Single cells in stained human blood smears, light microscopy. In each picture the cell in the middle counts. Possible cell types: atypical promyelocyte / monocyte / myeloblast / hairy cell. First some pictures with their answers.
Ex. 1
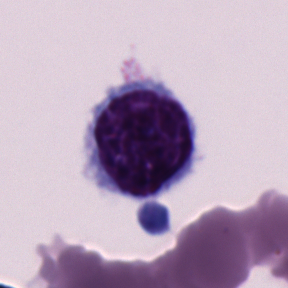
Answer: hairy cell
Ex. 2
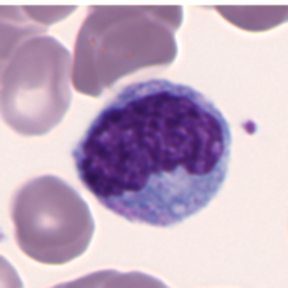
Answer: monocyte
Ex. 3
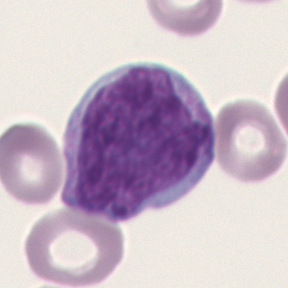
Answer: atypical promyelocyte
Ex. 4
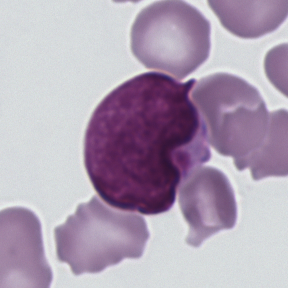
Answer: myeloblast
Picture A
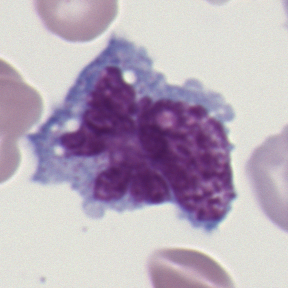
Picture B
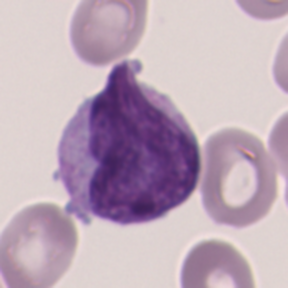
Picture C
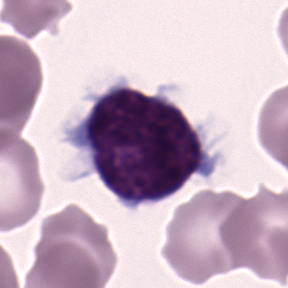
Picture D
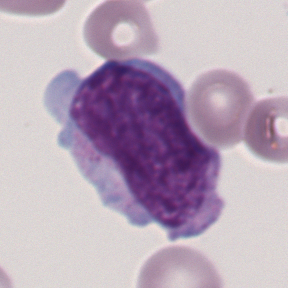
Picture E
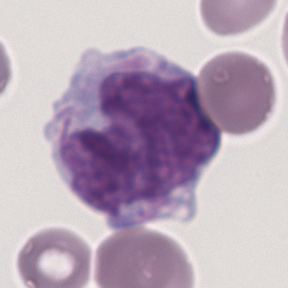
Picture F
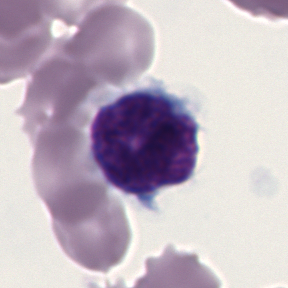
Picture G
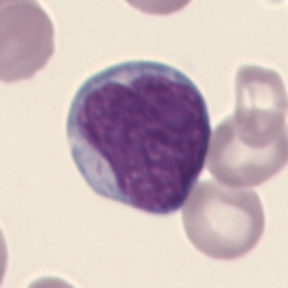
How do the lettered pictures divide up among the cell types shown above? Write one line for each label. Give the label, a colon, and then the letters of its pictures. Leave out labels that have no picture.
atypical promyelocyte: B, D, E
monocyte: A
myeloblast: G
hairy cell: C, F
